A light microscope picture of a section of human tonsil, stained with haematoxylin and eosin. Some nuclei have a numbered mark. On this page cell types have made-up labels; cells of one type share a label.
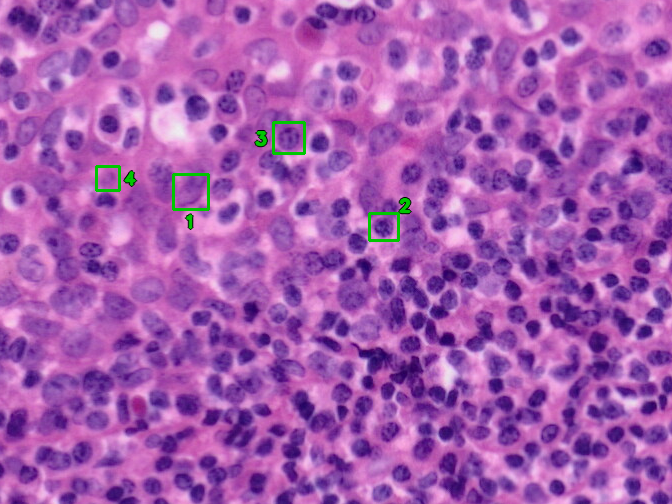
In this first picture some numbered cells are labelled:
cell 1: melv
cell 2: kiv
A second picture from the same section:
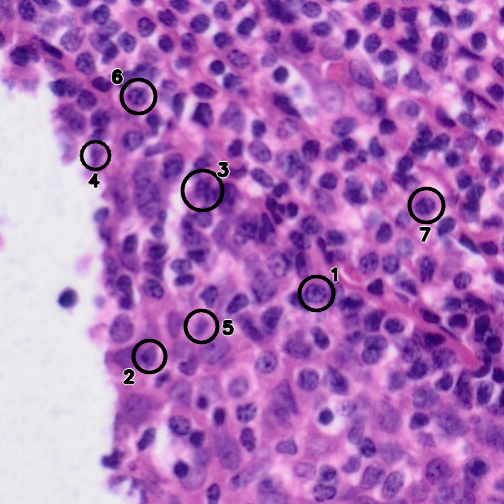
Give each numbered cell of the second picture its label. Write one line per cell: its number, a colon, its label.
1: kiv
2: melv
3: melv
4: melv
5: melv
6: kiv
7: kiv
